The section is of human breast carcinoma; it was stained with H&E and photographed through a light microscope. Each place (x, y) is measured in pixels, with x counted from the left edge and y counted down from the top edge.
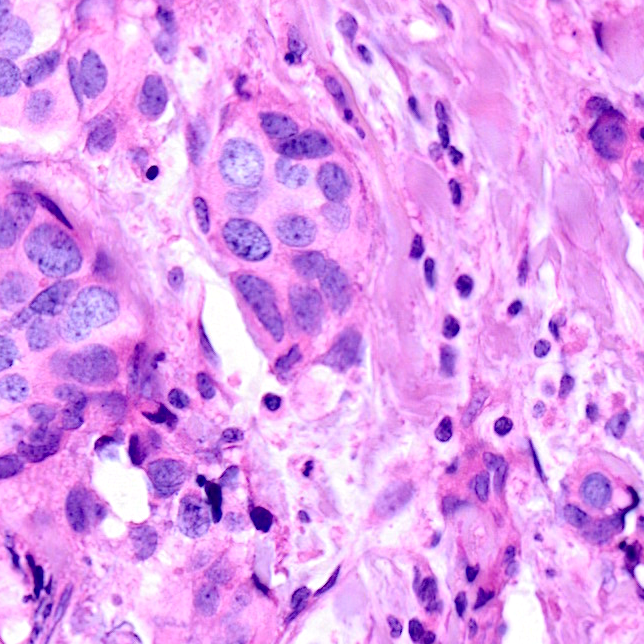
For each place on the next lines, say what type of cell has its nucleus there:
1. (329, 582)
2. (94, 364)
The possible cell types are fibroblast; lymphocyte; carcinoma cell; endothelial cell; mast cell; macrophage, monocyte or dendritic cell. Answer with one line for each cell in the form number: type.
1: fibroblast
2: carcinoma cell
